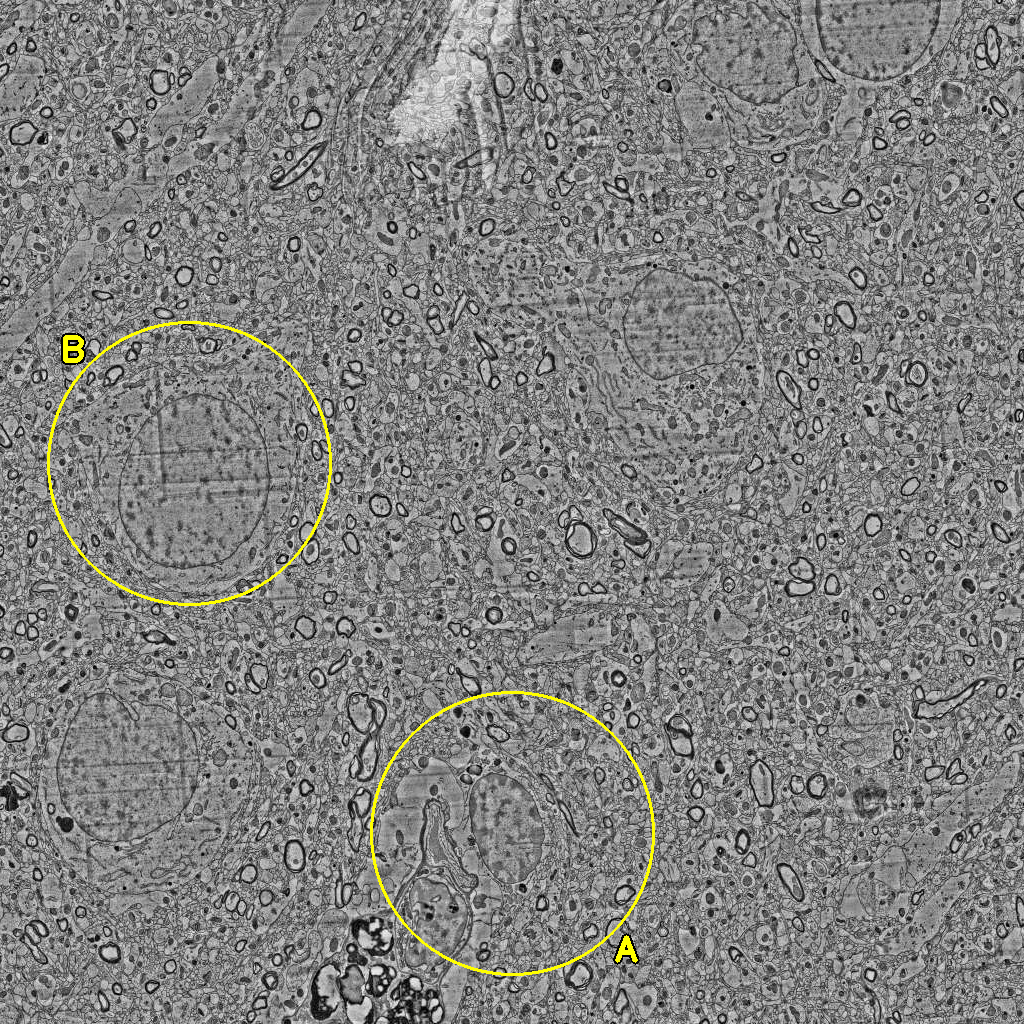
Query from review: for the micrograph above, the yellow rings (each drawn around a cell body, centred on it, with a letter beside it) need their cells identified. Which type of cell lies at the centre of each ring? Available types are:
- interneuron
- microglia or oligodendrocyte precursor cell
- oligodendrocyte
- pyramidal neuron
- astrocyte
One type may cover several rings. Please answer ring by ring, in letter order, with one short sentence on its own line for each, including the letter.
Ring A is drawn around a microglial cell or oligodendrocyte precursor cell.
Ring B is drawn around a pyramidal neuron.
